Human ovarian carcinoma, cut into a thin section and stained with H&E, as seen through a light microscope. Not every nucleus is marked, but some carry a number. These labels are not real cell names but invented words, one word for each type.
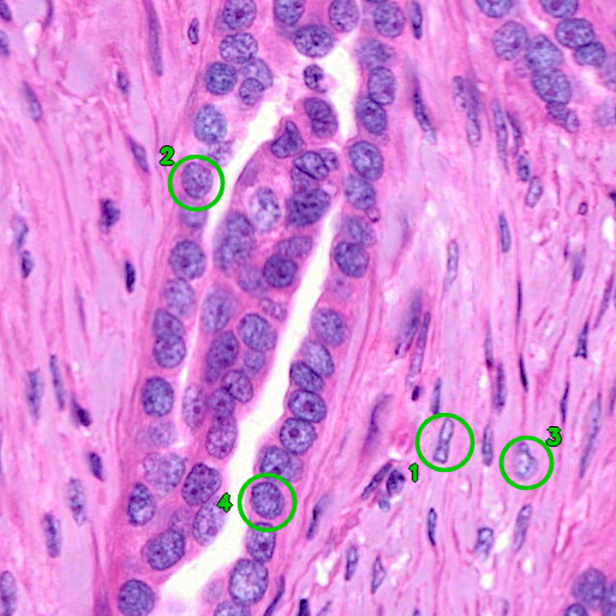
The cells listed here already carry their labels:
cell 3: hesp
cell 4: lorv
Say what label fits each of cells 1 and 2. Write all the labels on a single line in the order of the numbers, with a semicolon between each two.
hesp; lorv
